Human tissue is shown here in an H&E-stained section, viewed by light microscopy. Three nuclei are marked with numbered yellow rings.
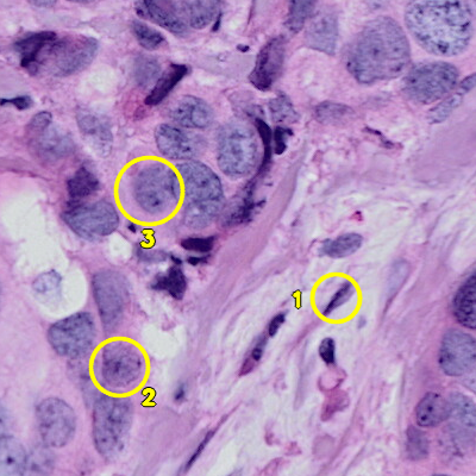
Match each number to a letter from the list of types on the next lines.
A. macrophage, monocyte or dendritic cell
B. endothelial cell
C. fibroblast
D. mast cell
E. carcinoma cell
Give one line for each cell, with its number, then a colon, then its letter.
1: C
2: E
3: E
